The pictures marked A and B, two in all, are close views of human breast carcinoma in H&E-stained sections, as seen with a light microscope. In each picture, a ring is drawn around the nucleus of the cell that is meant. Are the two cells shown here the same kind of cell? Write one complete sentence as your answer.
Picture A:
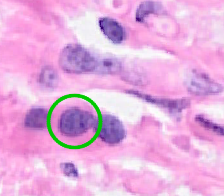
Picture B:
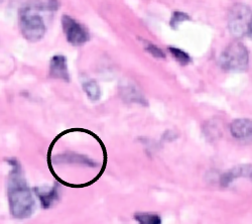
No; the cell in picture A is a carcinoma cell, while the one in picture B is a fibroblast.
